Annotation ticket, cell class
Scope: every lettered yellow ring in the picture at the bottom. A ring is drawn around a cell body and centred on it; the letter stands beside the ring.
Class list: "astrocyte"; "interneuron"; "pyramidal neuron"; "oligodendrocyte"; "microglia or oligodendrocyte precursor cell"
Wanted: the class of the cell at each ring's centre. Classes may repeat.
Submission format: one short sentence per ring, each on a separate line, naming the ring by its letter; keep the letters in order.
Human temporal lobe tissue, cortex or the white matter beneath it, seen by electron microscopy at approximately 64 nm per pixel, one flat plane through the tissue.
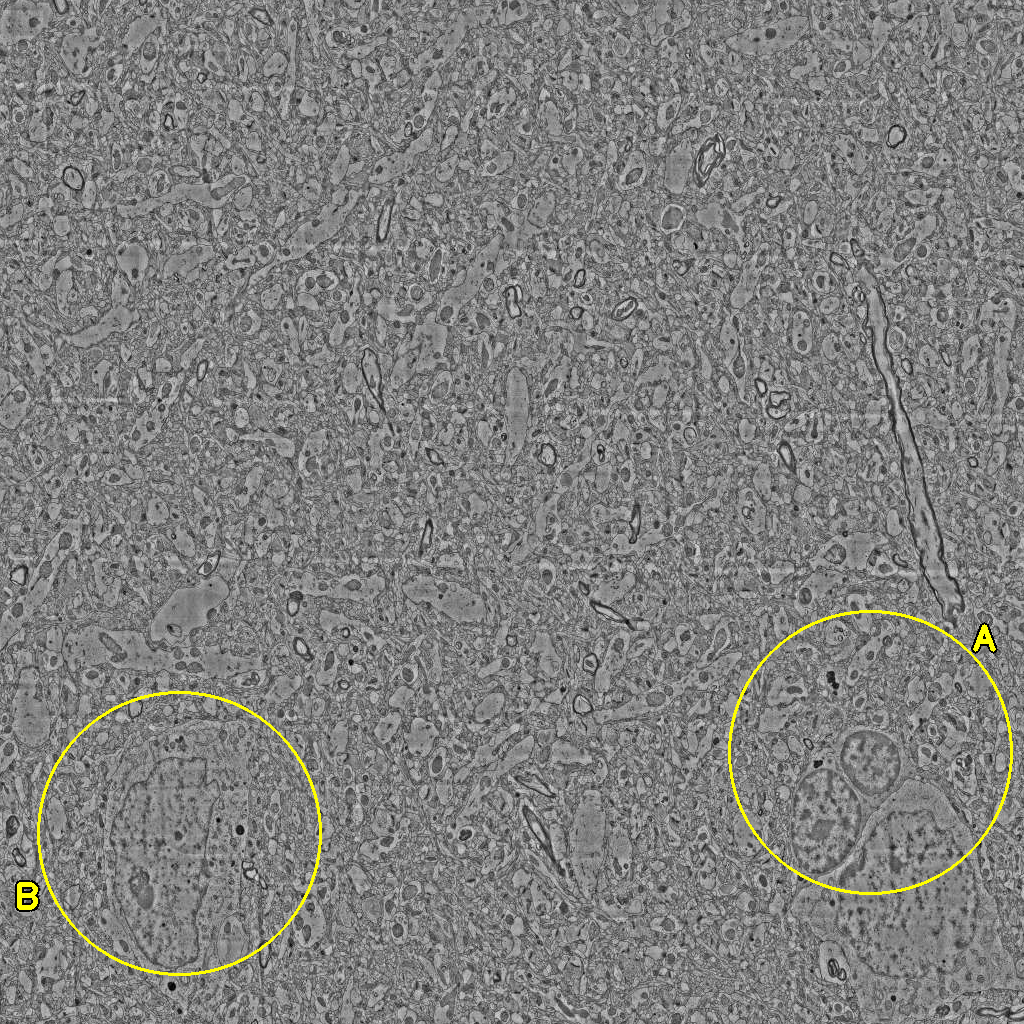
The centre of ring A is occupied by an oligodendrocyte.
The centre of ring B is occupied by an interneuron.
